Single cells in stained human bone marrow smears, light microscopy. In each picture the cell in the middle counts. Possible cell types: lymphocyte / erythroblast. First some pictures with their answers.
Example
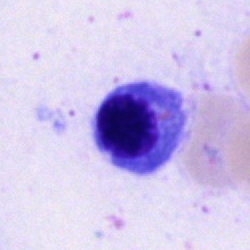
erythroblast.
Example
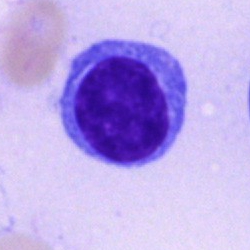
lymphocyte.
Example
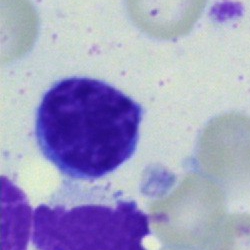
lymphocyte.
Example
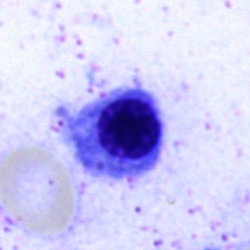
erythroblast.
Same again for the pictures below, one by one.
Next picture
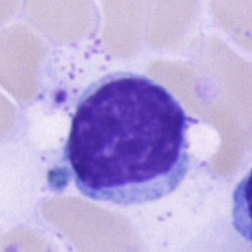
lymphocyte.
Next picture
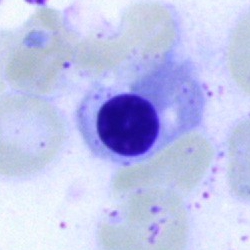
erythroblast.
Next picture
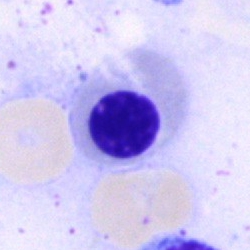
erythroblast.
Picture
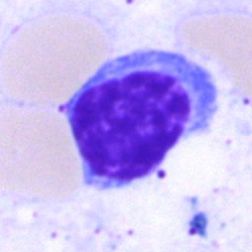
lymphocyte.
